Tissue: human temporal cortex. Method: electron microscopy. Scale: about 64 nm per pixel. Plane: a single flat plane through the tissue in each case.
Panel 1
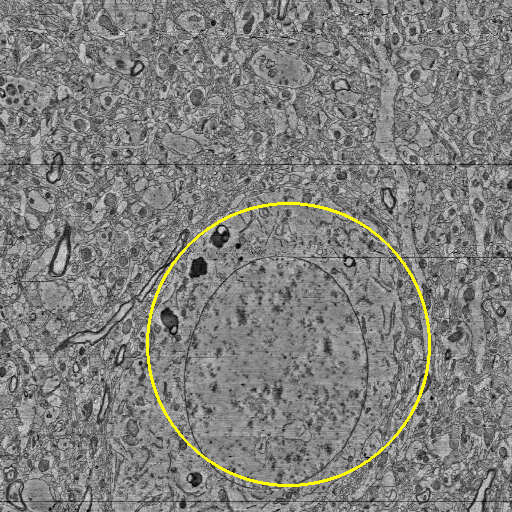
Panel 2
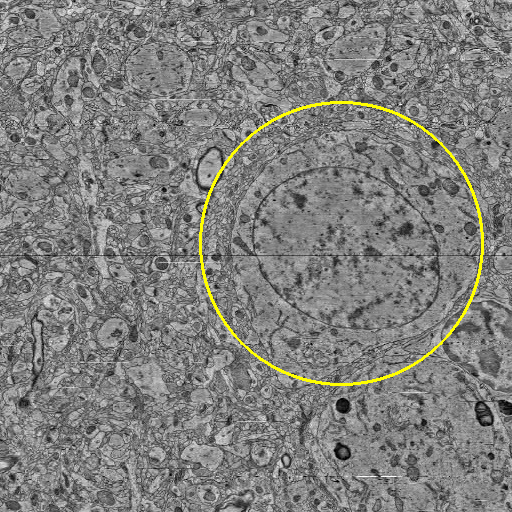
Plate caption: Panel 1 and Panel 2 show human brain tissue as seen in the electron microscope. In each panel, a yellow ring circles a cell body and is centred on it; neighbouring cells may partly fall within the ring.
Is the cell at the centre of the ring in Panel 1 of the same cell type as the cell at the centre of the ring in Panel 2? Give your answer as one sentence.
Yes, the two cells are of the same type.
